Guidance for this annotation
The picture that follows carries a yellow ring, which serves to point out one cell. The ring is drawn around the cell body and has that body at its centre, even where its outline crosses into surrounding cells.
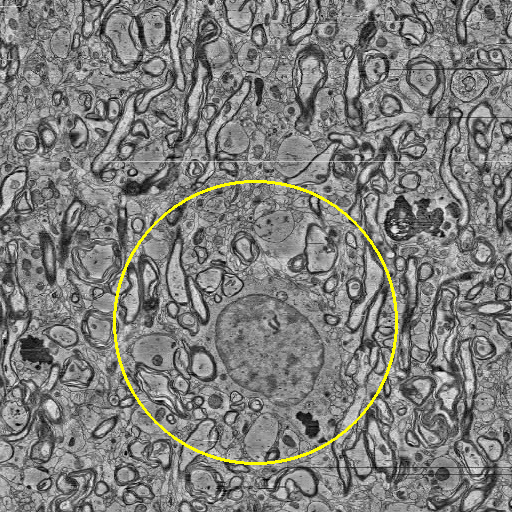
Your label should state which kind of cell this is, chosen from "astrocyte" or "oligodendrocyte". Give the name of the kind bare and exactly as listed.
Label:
oligodendrocyte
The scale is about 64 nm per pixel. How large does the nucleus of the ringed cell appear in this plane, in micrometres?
About 8 micrometres by about 6 micrometres in this plane.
